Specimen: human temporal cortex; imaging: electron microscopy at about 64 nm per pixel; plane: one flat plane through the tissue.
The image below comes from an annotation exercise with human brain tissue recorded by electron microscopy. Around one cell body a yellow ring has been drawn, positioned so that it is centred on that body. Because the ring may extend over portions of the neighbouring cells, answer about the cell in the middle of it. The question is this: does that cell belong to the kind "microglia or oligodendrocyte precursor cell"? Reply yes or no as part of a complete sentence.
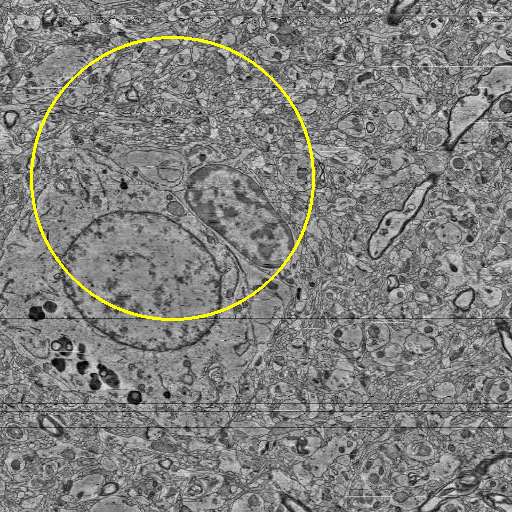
Yes, in the image the cell in the middle of the ring is of the kind asked about.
